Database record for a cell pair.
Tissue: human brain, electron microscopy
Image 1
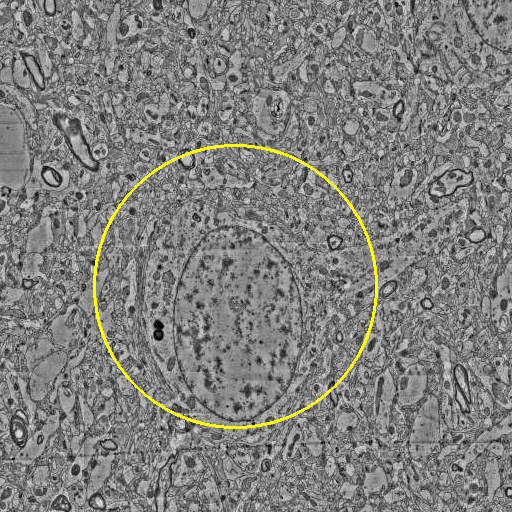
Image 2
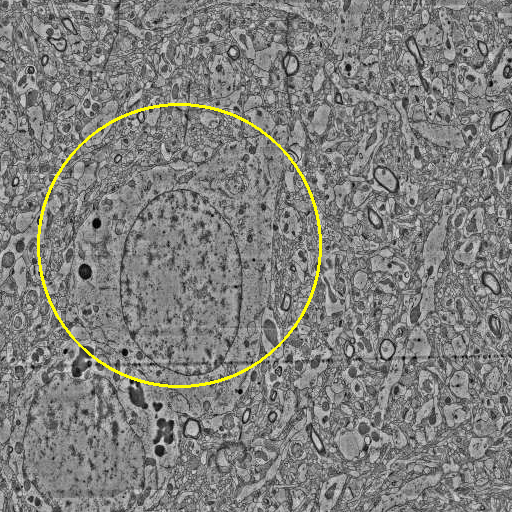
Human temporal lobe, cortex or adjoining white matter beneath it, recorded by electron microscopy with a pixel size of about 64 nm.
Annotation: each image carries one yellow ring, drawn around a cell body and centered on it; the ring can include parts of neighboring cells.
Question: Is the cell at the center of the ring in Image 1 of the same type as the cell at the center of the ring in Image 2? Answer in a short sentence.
Yes, the cells are of the same type.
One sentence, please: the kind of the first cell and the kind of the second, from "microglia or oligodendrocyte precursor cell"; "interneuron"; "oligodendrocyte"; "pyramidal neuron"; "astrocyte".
Each of the two rings is centred on a pyramidal neuron.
